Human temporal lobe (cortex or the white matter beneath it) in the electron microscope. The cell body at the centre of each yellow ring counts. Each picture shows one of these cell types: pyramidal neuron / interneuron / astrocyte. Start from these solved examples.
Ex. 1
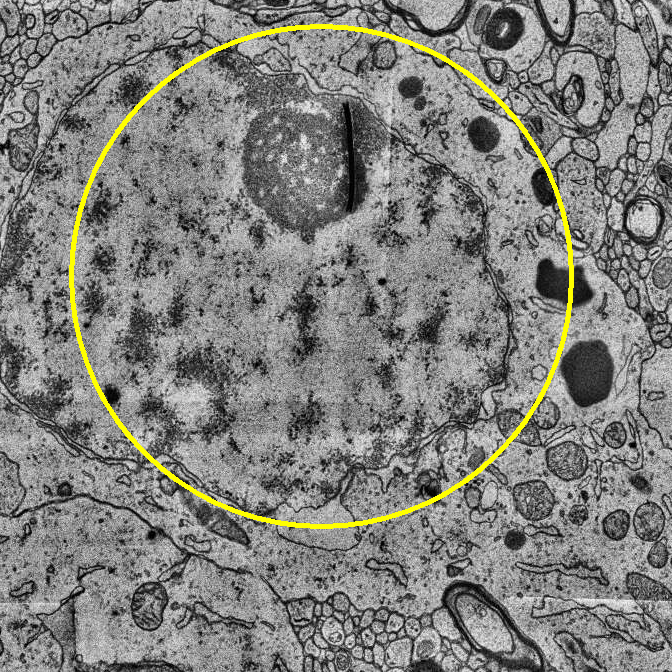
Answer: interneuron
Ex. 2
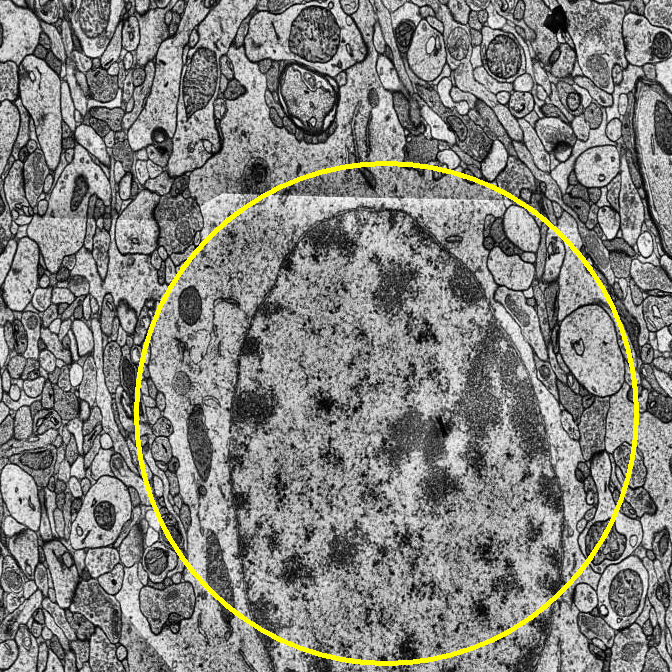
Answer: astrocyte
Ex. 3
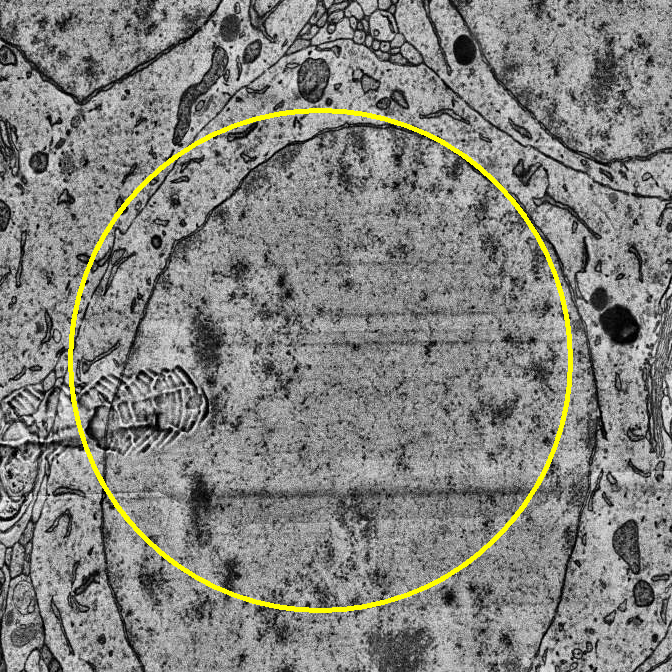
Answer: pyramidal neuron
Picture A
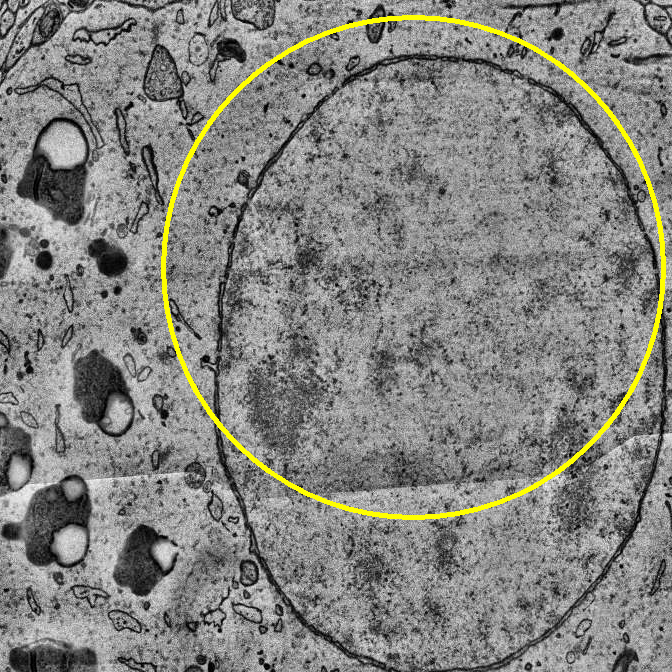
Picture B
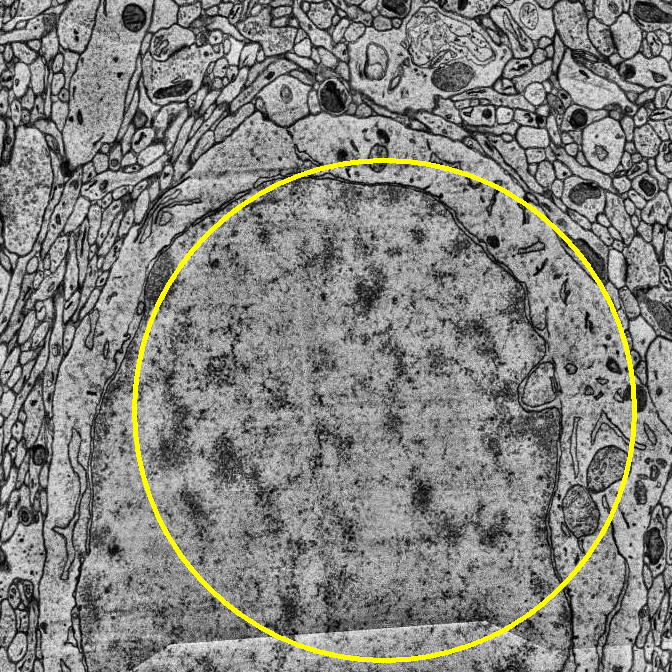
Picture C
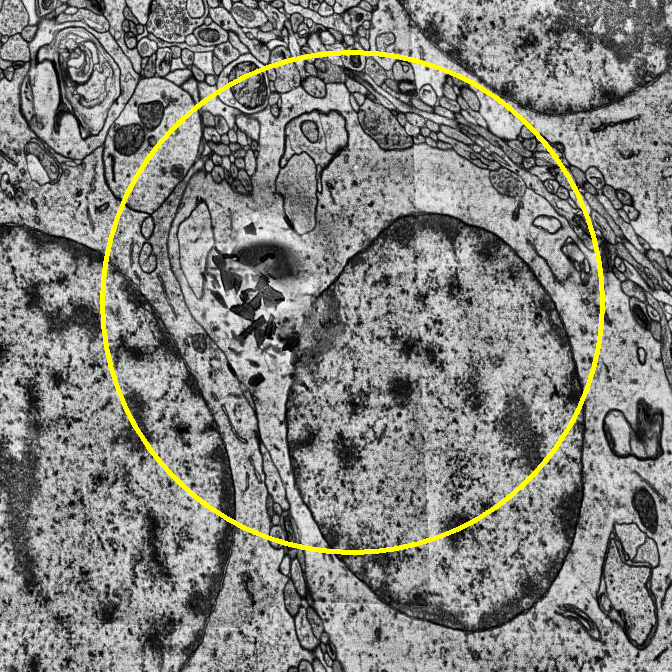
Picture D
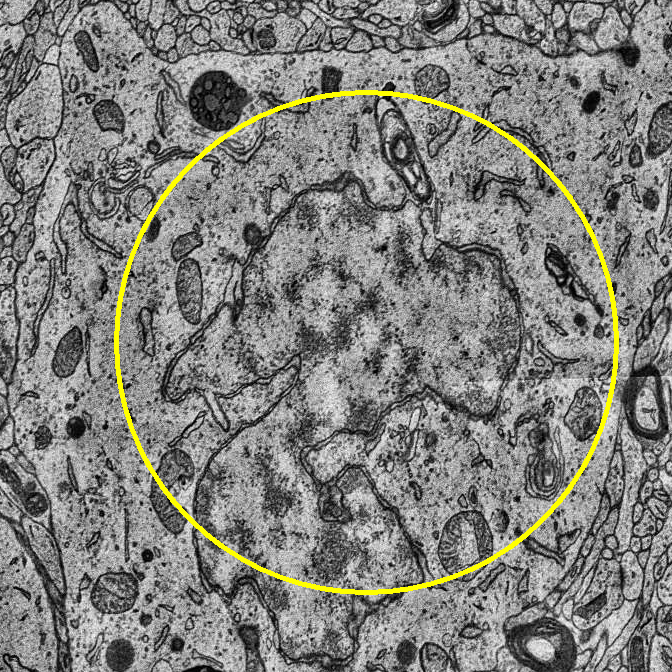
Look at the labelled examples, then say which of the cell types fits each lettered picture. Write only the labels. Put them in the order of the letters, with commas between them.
pyramidal neuron, interneuron, astrocyte, interneuron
